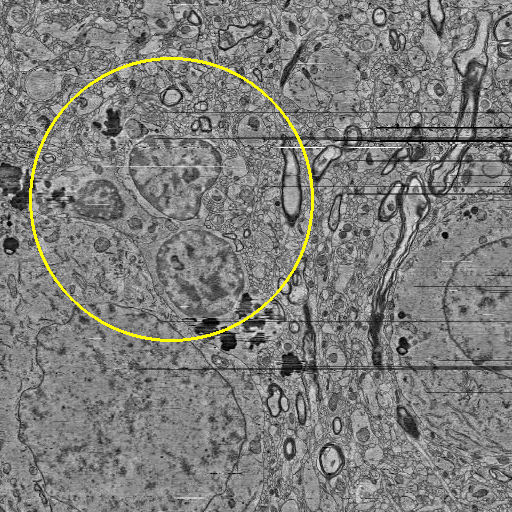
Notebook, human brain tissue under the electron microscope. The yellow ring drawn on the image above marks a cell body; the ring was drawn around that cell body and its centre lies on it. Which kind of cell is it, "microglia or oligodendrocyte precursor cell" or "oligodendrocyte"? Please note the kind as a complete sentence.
The marked cell body is that of a microglial cell or oligodendrocyte precursor cell.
